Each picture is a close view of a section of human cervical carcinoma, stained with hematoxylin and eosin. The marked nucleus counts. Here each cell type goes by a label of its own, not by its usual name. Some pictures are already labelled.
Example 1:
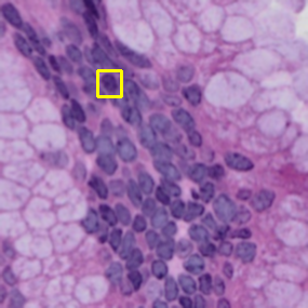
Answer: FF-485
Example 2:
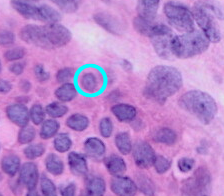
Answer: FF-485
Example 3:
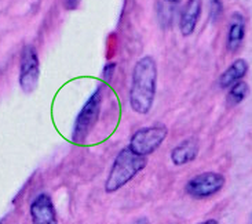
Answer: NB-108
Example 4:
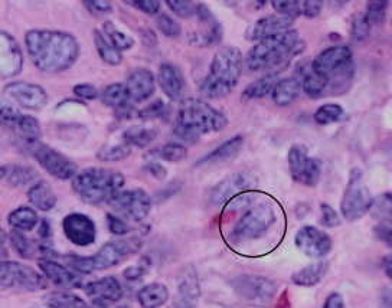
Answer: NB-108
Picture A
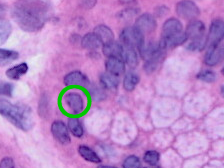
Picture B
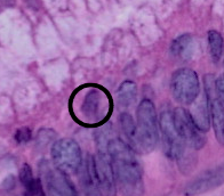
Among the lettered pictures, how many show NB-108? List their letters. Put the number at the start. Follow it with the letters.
0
